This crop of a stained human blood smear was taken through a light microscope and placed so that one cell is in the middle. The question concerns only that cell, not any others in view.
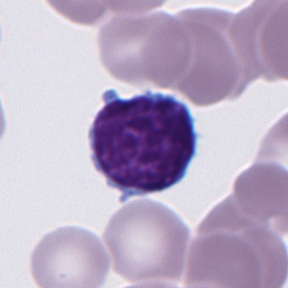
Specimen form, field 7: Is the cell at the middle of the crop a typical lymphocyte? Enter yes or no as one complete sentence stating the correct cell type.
Yes, the central cell here is a typical lymphocyte.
